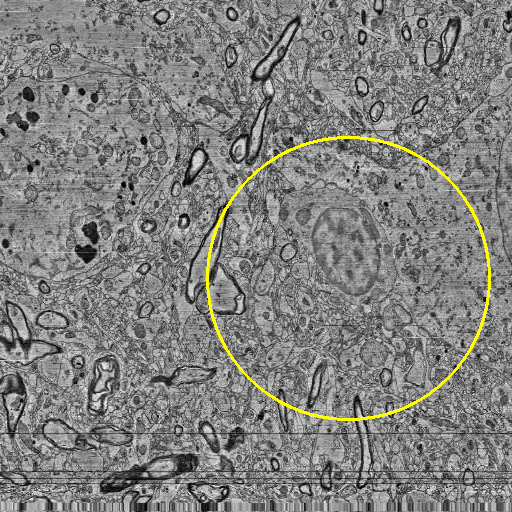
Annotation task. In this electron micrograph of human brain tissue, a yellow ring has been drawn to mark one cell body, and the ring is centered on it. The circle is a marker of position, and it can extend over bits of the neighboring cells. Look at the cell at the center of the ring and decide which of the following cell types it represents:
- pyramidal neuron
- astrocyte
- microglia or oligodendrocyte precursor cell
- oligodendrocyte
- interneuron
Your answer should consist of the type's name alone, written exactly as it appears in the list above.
oligodendrocyte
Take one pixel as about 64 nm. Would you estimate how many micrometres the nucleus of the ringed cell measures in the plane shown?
In this plane, approximately 6 by 4 micrometers.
